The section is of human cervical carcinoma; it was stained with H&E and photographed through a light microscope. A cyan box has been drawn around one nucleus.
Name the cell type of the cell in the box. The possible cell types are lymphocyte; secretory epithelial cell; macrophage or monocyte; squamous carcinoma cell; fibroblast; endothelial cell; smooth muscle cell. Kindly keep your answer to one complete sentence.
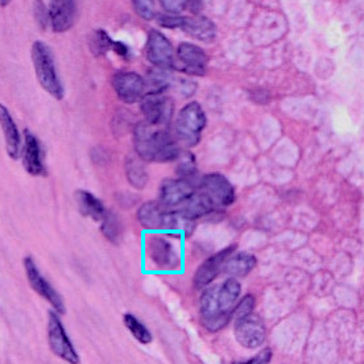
So far as cell type goes, the cell in the box is a secretory epithelial cell.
